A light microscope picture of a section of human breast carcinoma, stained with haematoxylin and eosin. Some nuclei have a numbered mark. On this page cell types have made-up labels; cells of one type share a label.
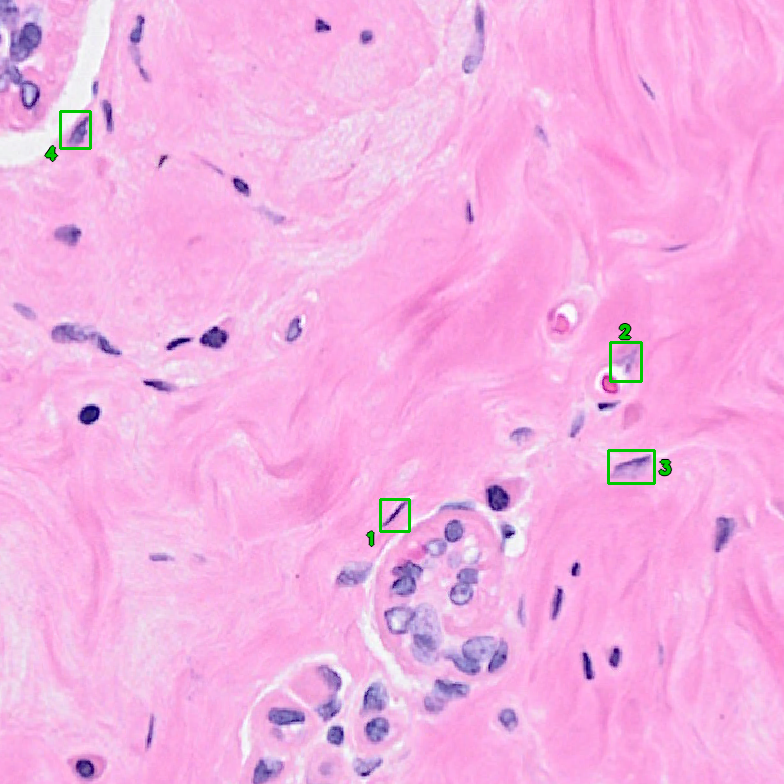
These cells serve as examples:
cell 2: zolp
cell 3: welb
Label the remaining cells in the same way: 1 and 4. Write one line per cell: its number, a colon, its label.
1: welb
4: zolp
